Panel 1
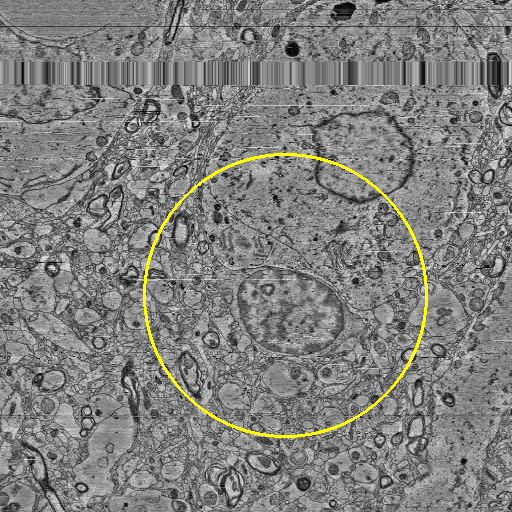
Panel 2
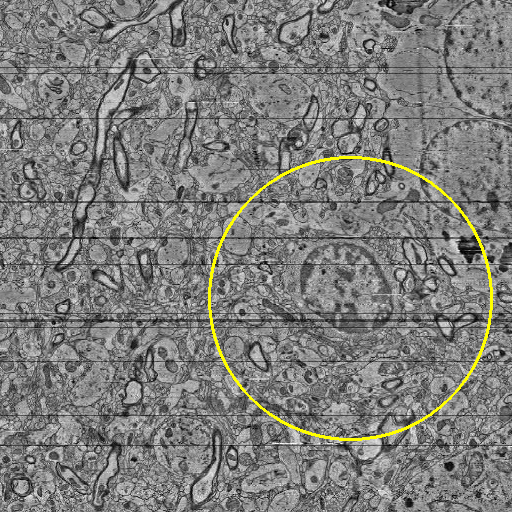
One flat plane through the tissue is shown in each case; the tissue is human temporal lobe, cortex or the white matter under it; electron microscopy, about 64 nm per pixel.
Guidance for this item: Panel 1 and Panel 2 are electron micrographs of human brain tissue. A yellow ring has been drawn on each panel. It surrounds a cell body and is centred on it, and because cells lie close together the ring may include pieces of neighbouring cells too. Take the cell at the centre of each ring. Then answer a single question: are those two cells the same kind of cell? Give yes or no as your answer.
yes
